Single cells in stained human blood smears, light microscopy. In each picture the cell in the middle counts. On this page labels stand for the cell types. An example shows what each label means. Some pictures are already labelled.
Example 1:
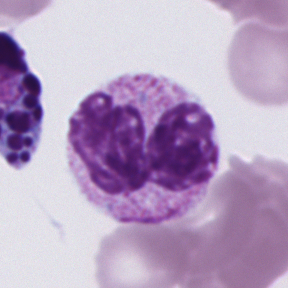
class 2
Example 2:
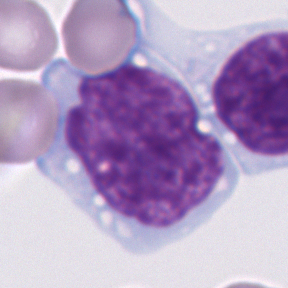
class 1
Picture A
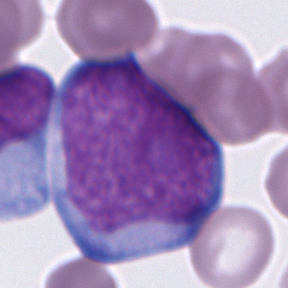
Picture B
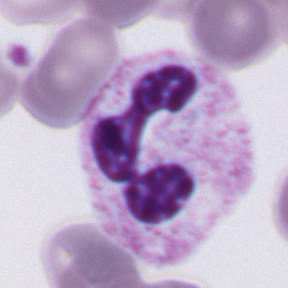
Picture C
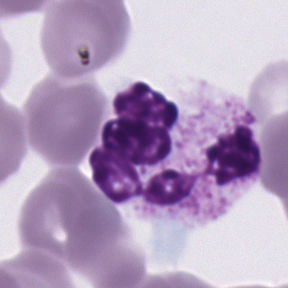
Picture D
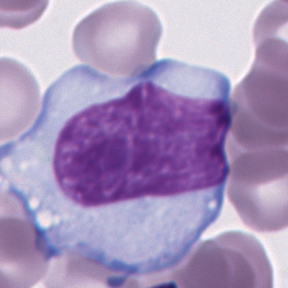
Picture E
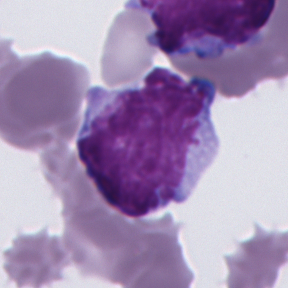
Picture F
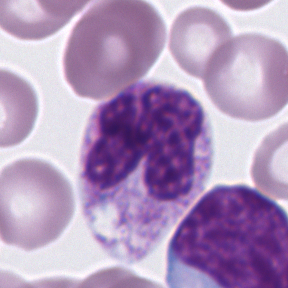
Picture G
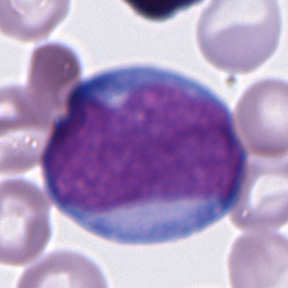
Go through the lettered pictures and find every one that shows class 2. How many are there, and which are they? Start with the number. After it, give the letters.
3: B, C, F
